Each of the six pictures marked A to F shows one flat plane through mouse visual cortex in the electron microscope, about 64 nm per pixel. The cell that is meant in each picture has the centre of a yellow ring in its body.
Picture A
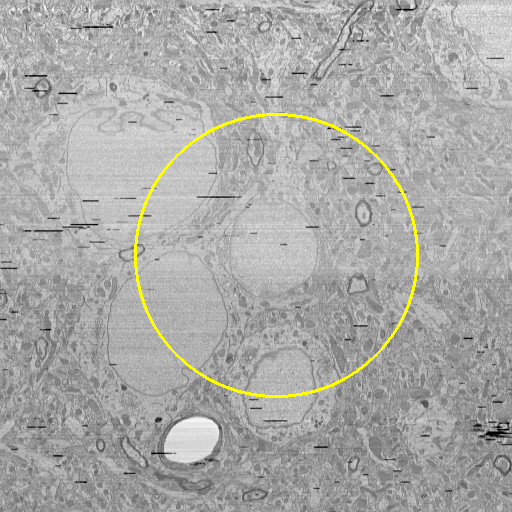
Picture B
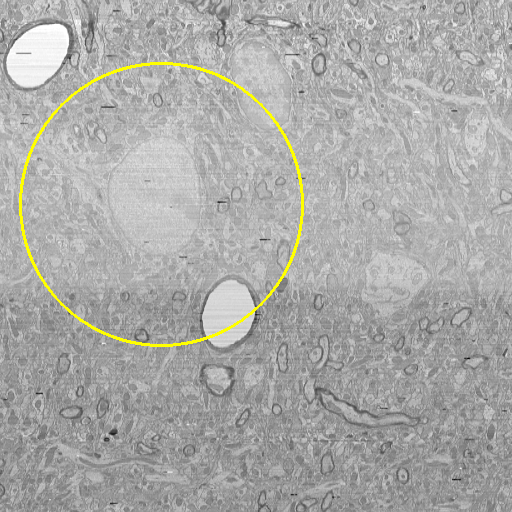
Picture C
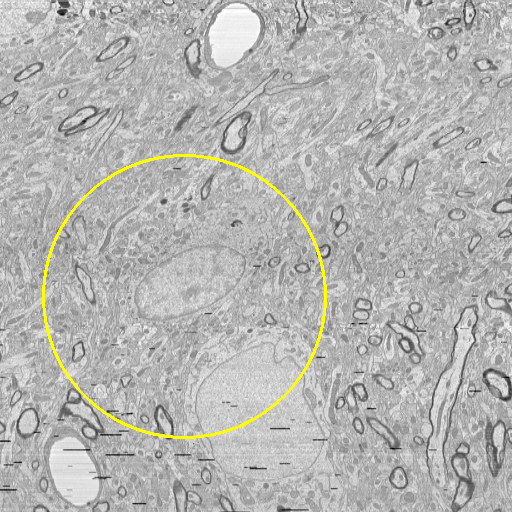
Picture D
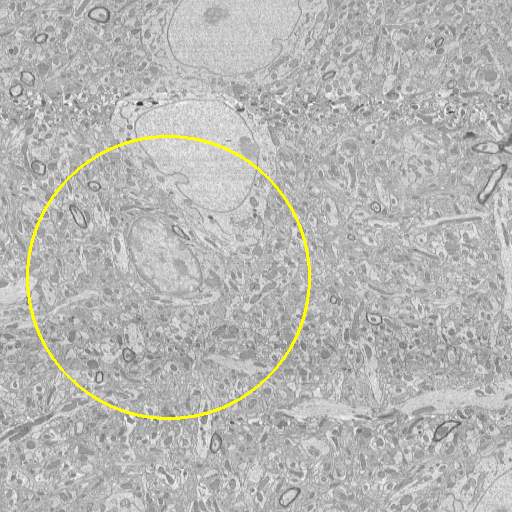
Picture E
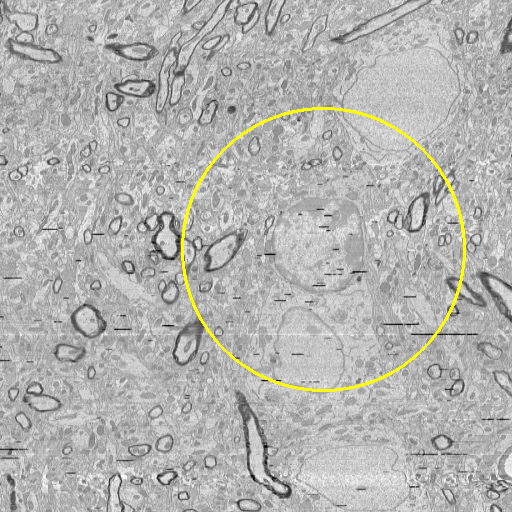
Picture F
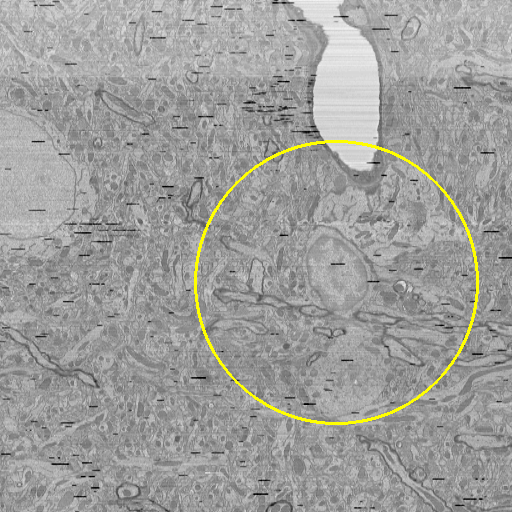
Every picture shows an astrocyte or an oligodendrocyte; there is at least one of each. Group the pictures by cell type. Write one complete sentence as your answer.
Pictures A and B show astrocytes; pictures C, D, E and F show oligodendrocytes.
